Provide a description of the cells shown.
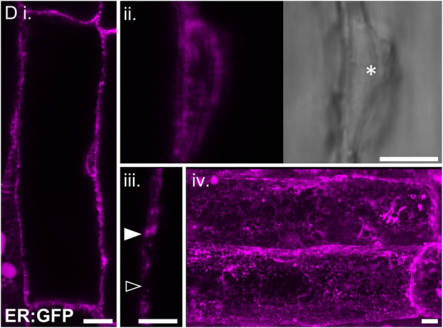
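The stacked projection shows a fine, speckled and net-like purple pattern spread through the cell cortex, denser along the long sides of the cells. Beside the nucleus, marked in the grey image, purple signal forms a curved rim.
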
